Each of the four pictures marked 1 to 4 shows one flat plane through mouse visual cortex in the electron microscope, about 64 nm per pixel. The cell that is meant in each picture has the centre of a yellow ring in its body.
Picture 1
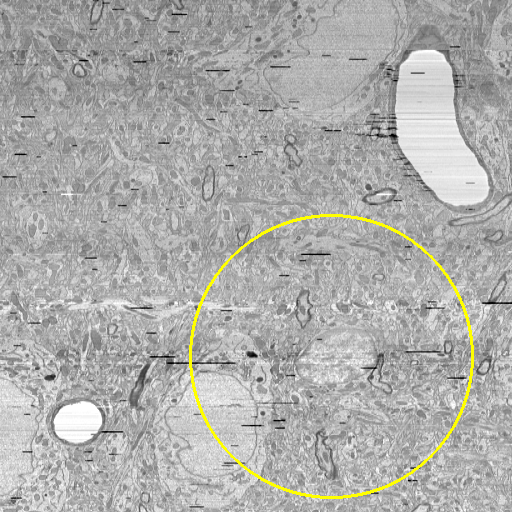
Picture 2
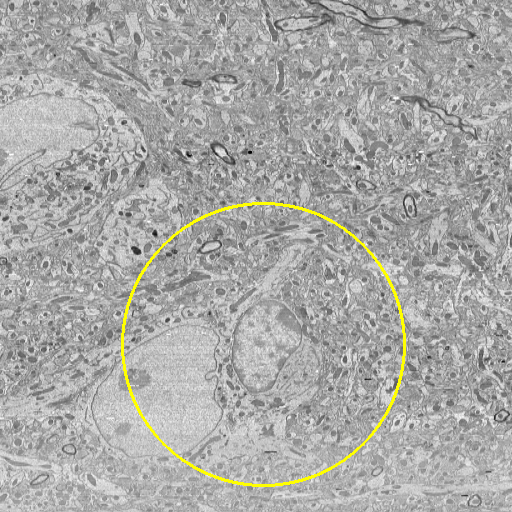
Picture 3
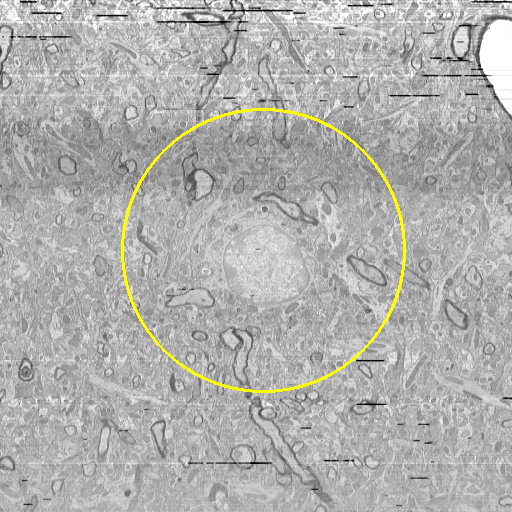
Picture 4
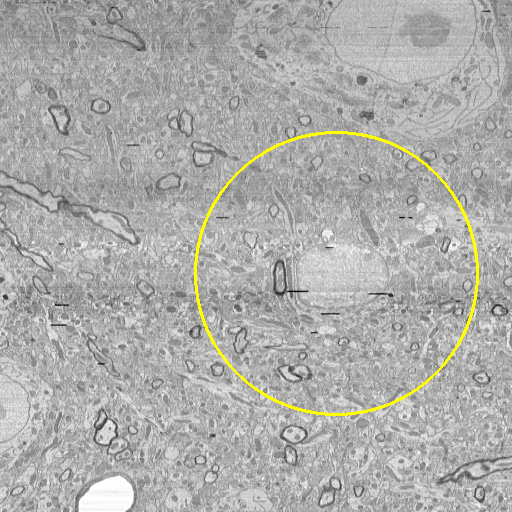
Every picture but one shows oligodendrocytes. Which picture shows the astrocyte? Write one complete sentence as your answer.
It is picture 4 that shows the astrocyte.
